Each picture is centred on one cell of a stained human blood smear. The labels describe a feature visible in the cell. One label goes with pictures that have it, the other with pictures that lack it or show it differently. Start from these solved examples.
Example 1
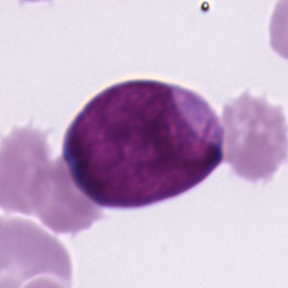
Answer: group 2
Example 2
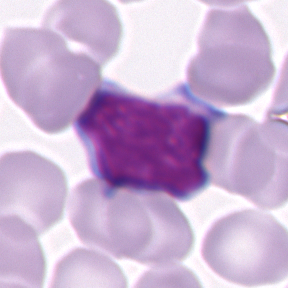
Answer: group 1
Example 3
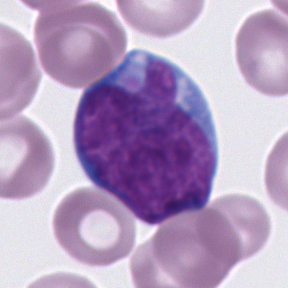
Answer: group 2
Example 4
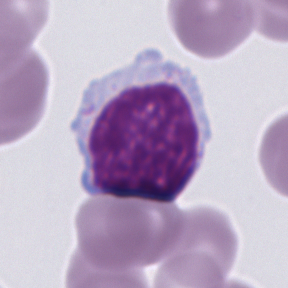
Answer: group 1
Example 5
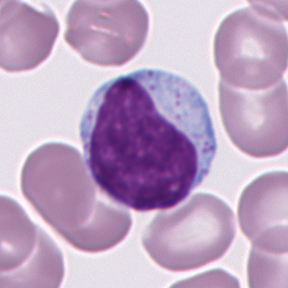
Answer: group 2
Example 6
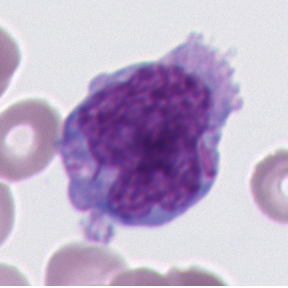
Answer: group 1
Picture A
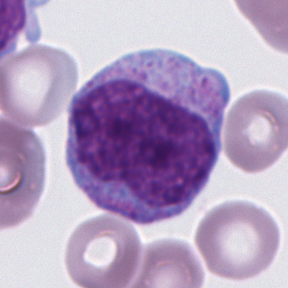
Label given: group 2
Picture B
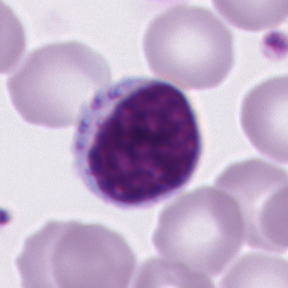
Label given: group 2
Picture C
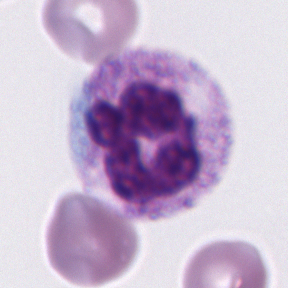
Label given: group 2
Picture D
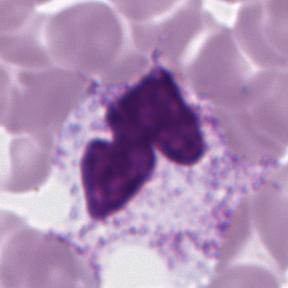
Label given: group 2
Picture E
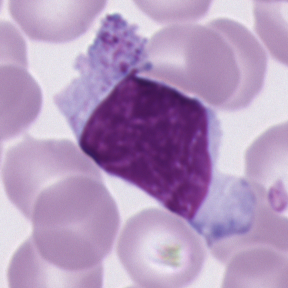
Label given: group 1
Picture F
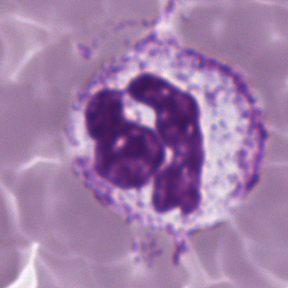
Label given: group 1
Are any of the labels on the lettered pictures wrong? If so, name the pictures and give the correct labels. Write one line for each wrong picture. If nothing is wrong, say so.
D: not group 2 but group 1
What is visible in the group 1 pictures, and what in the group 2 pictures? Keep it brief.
In group 1: ragged outline or projections. In group 2: smooth outline.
